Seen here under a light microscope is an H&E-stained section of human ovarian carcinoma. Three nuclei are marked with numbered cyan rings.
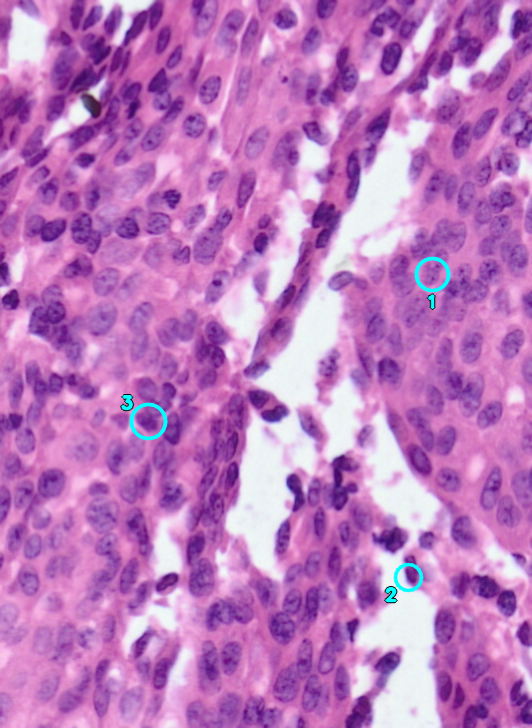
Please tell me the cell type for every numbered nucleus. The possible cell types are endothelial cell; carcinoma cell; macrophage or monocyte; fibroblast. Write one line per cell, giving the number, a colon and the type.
1: carcinoma cell
2: macrophage or monocyte
3: carcinoma cell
